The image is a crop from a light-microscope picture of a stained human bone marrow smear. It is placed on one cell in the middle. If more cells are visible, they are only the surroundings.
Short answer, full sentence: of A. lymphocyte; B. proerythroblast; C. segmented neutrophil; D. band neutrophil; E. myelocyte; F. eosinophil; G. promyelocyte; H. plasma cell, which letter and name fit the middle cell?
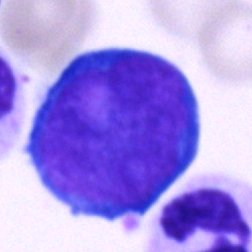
In the middle of the crop is a proerythroblast; option B is therefore correct.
